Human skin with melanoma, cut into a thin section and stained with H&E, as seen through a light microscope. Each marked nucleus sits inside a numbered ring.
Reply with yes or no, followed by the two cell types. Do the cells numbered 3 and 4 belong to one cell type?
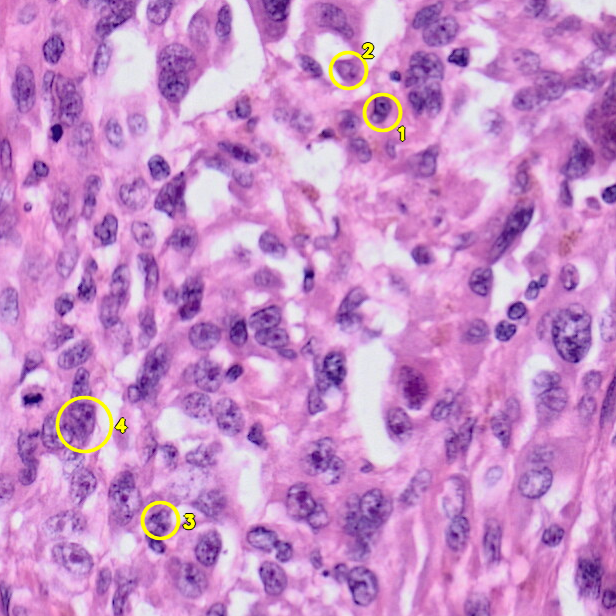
Yes, cells 3 and 4 are both melanoma cells in this section.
